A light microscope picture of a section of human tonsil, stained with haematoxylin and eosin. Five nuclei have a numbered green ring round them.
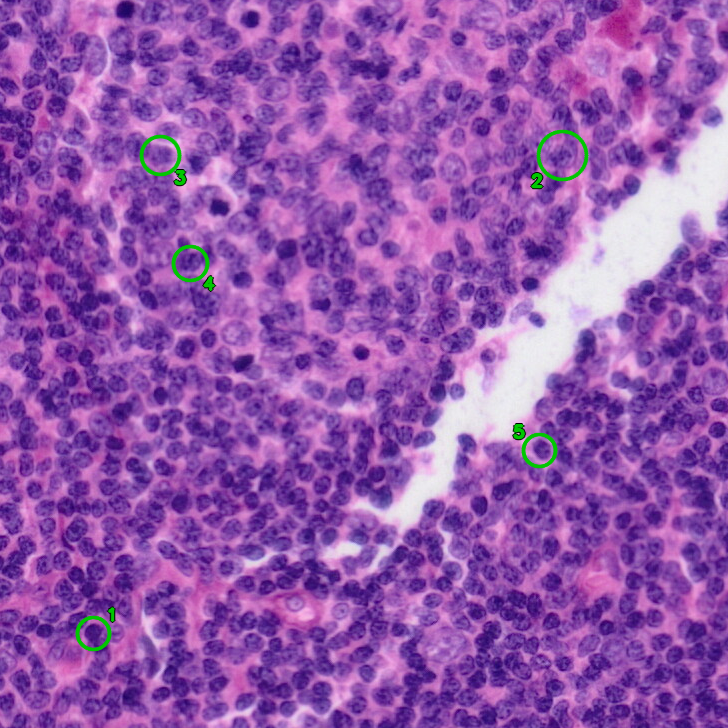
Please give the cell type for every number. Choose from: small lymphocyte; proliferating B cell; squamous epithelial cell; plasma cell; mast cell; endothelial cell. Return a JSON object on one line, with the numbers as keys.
{"1": "small lymphocyte", "2": "proliferating B cell", "3": "proliferating B cell", "4": "proliferating B cell", "5": "small lymphocyte"}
